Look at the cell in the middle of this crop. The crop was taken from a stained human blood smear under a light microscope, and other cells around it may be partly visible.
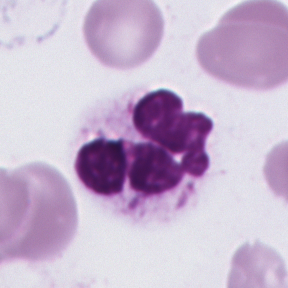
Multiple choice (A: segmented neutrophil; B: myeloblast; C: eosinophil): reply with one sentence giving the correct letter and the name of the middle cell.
The cell in the middle is a segmented neutrophil, so option A is correct.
